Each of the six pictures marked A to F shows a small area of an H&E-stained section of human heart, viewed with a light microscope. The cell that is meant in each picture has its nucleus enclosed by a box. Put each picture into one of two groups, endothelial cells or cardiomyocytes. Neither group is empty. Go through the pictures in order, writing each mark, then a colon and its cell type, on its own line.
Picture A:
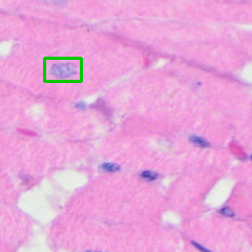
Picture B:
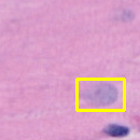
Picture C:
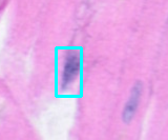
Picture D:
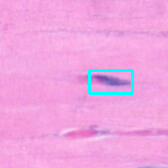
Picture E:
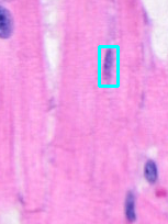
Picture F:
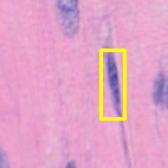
A: cardiomyocyte
B: cardiomyocyte
C: endothelial cell
D: endothelial cell
E: endothelial cell
F: endothelial cell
